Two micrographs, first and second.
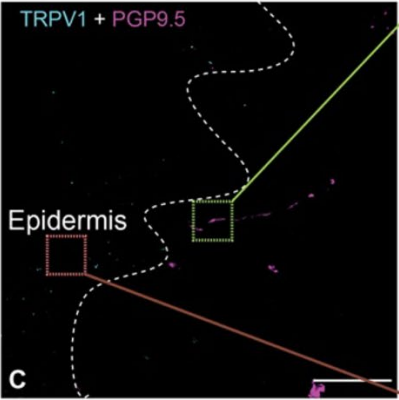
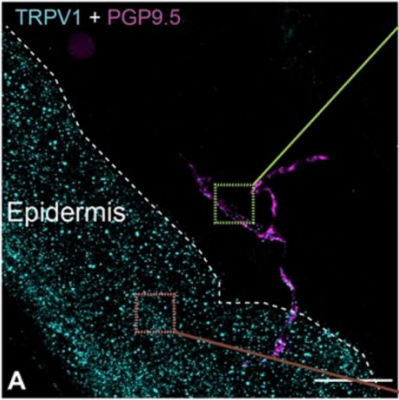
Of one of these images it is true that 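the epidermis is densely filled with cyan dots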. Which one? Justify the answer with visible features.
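The second image. Second image: the band inside the dashed line is crowded with bright cyan puncta. First image: the region marked as epidermis is nearly black with only sparse faint cyan specks.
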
